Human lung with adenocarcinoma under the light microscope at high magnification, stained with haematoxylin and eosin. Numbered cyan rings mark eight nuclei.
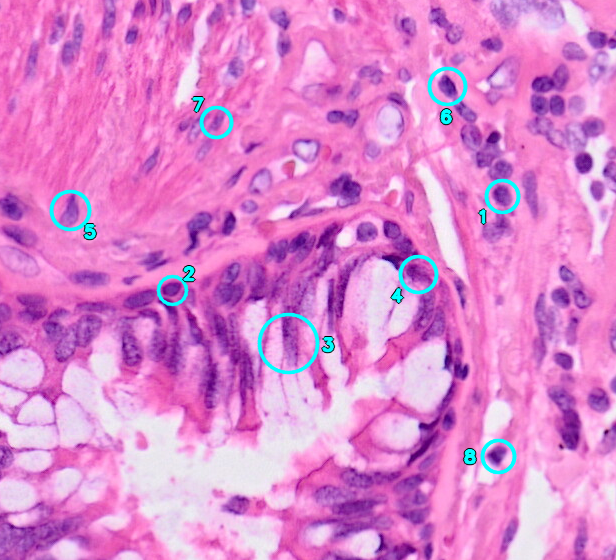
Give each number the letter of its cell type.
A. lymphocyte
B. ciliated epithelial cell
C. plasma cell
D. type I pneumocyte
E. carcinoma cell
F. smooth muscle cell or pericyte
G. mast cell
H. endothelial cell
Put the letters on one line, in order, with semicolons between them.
A; B; B; B; F; A; F; A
